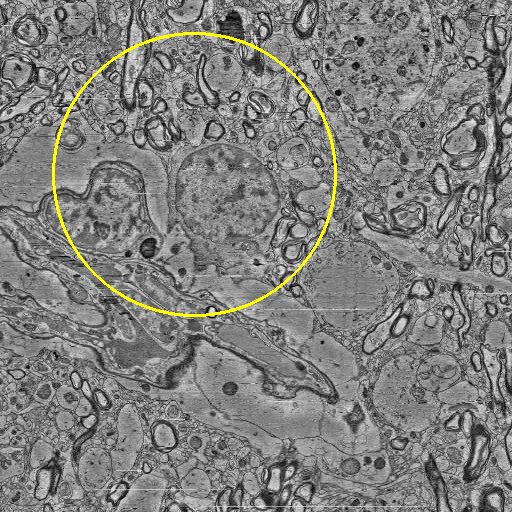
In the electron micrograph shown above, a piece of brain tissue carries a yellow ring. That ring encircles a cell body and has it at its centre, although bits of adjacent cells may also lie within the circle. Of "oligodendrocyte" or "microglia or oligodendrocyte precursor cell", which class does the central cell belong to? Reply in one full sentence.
The cell body at the centre of the yellow ring belongs to an oligodendrocyte.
